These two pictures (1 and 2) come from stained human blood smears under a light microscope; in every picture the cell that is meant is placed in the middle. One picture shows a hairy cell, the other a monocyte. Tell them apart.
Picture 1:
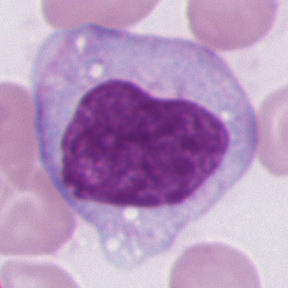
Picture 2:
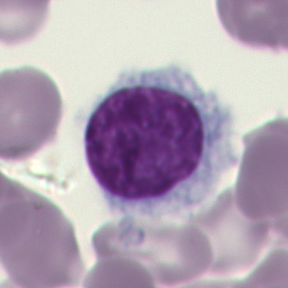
1: monocyte
2: hairy cell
